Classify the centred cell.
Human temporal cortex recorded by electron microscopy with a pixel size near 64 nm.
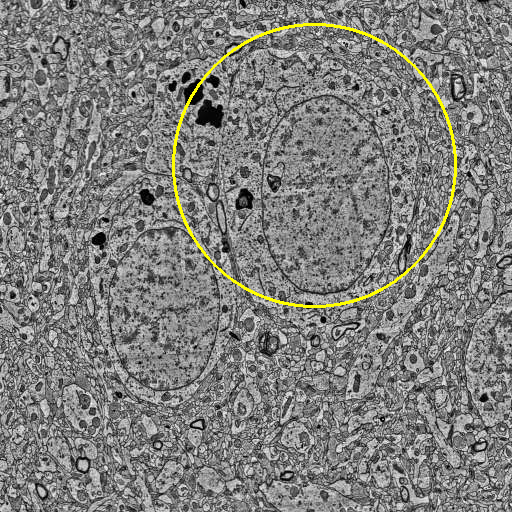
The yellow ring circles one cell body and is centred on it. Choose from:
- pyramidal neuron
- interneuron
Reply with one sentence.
The ring is centred on a pyramidal neuron.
